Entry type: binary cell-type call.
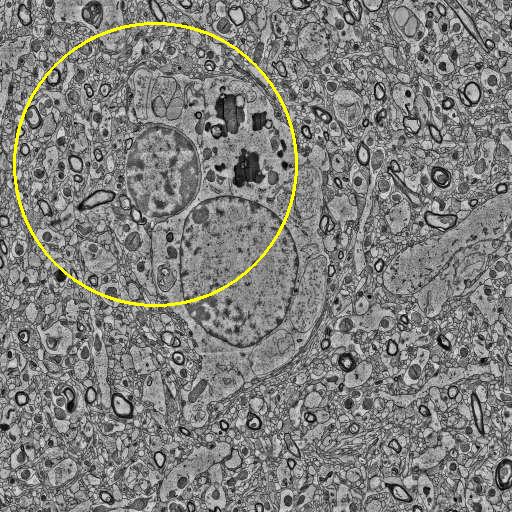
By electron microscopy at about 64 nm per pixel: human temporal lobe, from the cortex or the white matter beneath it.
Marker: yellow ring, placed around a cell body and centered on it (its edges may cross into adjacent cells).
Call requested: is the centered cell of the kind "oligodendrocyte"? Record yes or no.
yes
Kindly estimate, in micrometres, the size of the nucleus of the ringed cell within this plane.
In this plane the nucleus measures roughly 6 micrometres across.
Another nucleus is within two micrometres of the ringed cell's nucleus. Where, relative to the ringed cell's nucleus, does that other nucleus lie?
The second nucleus sits to the lower right of it.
